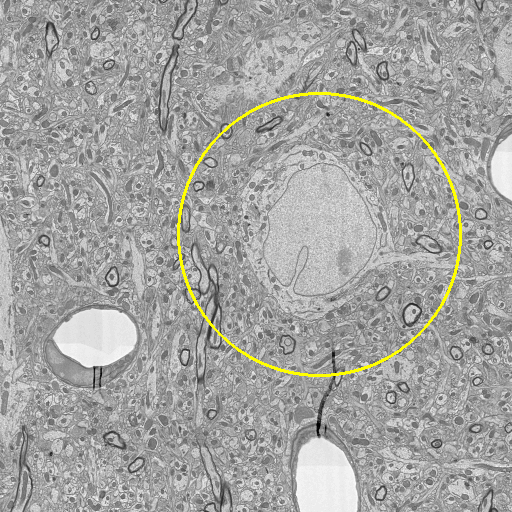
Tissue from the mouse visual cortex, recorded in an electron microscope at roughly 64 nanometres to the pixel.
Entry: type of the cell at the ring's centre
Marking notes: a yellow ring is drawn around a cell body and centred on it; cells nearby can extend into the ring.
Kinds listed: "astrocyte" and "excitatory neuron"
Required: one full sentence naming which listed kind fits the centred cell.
My entry names an excitatory neuron as the cell whose body the yellow ring centres on.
